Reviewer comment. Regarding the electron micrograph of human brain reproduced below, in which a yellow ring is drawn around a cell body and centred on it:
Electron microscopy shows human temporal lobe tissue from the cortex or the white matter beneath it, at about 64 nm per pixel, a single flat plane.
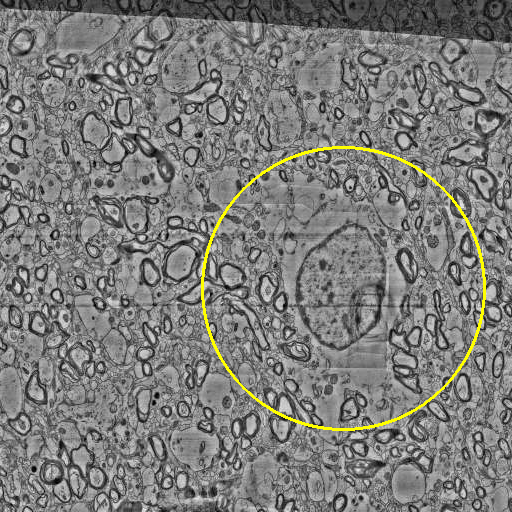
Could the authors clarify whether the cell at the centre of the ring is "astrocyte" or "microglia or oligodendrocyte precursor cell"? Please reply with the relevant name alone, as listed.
astrocyte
